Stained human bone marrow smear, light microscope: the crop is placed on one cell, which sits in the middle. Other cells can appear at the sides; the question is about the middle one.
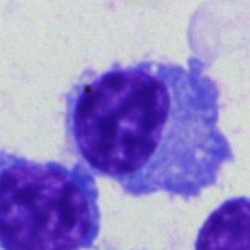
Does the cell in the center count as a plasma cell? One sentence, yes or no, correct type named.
Yes, in the centre of this field sits a plasma cell.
